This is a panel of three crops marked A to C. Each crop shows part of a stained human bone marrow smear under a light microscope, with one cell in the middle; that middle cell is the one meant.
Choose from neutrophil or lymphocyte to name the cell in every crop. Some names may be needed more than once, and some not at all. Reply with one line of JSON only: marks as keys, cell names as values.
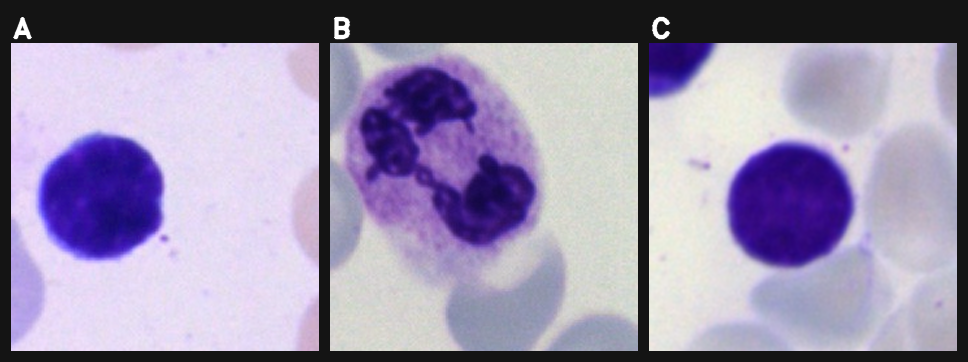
{"A": "lymphocyte", "B": "neutrophil", "C": "lymphocyte"}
